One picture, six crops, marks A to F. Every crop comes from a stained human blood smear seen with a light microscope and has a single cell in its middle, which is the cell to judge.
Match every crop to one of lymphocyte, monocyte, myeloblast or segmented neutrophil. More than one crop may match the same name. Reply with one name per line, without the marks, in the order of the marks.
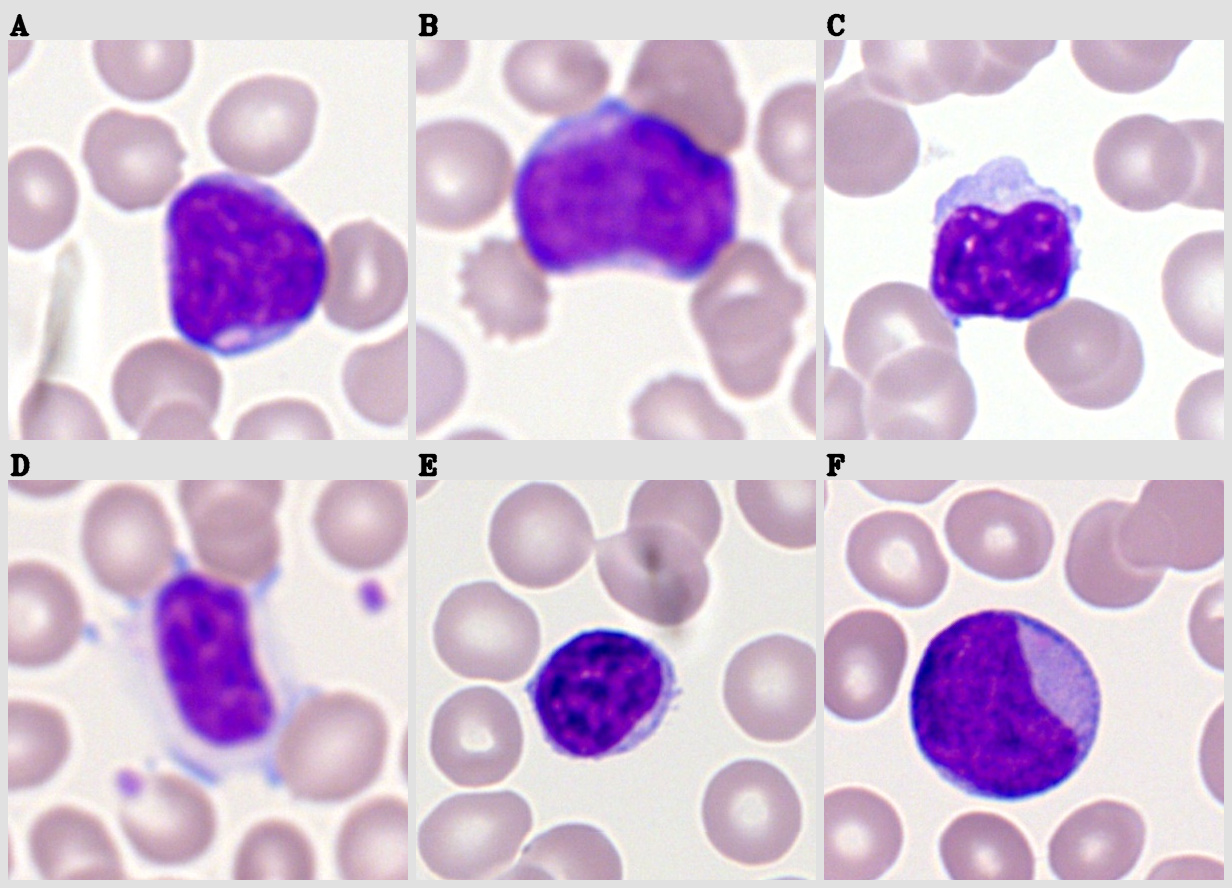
myeloblast
myeloblast
lymphocyte
lymphocyte
lymphocyte
myeloblast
